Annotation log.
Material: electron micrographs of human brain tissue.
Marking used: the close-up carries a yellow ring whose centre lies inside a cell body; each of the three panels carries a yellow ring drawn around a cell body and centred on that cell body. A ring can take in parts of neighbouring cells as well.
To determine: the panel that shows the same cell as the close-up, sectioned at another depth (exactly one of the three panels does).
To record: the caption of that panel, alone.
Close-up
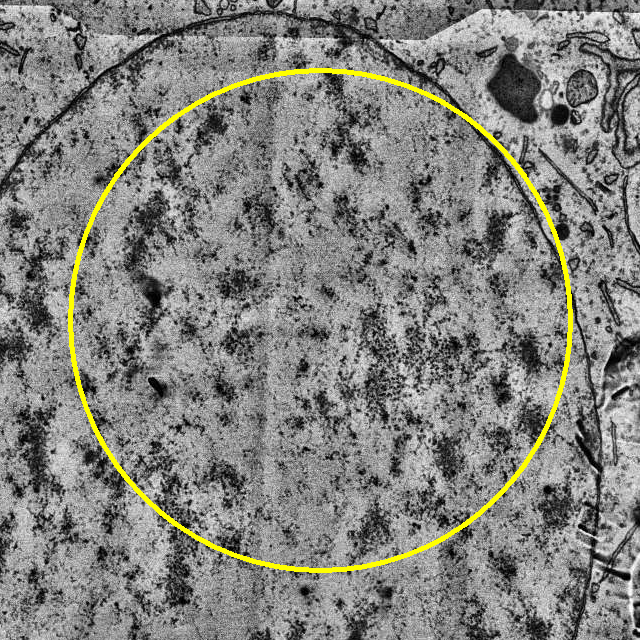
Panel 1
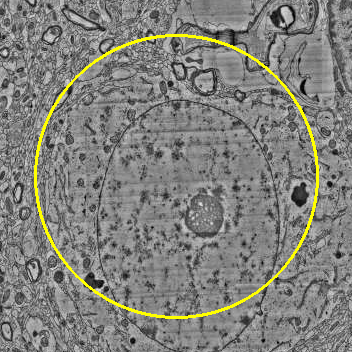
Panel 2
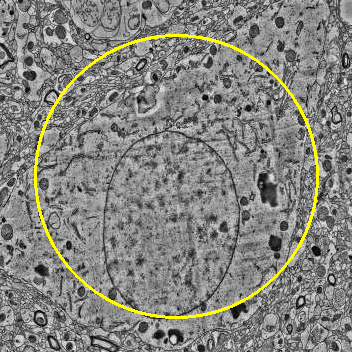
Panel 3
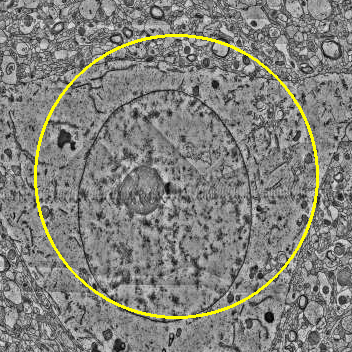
Panel 3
